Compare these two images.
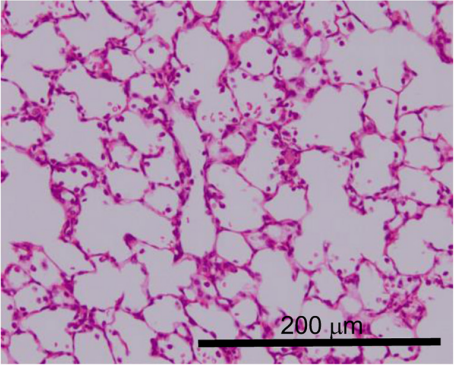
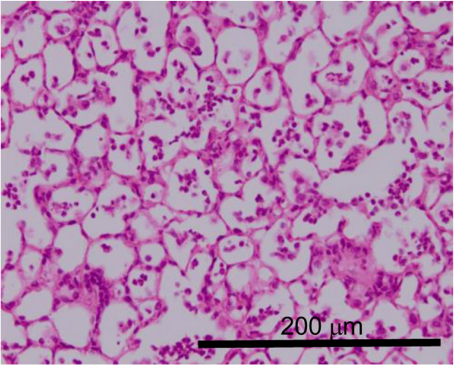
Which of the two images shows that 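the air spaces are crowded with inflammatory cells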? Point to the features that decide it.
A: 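First image: air spaces are mostly open and empty with thin septa and only scattered cells.
Hence: the second image.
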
